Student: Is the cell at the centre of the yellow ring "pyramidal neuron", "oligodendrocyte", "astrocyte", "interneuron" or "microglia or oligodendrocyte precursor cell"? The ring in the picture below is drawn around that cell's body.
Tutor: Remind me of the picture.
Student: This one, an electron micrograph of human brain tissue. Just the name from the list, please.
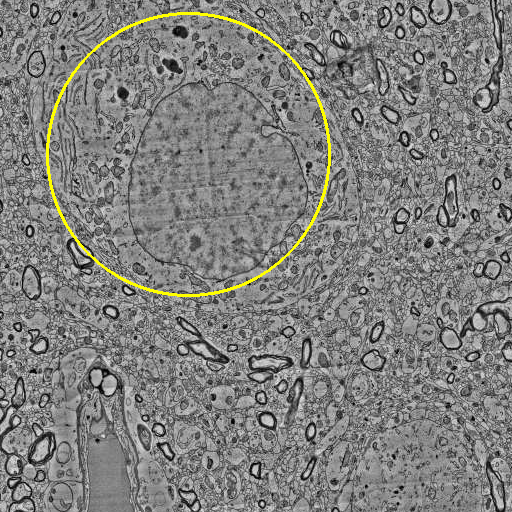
interneuron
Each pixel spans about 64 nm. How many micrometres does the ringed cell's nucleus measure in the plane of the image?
The nucleus appears about 12 micrometres across in this plane.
